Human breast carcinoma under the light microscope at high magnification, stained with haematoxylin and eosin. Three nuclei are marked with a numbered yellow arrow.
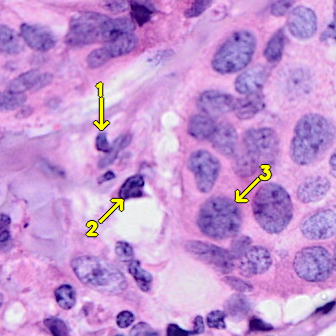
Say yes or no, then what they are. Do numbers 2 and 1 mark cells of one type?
Yes, cells 2 and 1 both belong to the category of lymphocytes.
